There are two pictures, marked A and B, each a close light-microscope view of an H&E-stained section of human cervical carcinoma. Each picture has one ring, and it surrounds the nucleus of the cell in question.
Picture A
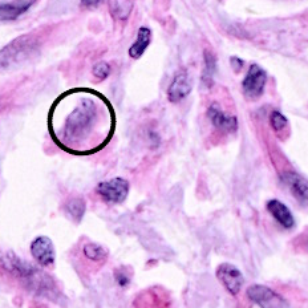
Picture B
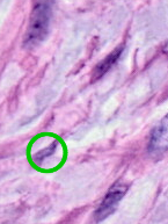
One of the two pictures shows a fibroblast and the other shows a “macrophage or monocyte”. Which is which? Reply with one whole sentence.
Picture B shows a fibroblast, while picture A shows a “macrophage or monocyte”.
